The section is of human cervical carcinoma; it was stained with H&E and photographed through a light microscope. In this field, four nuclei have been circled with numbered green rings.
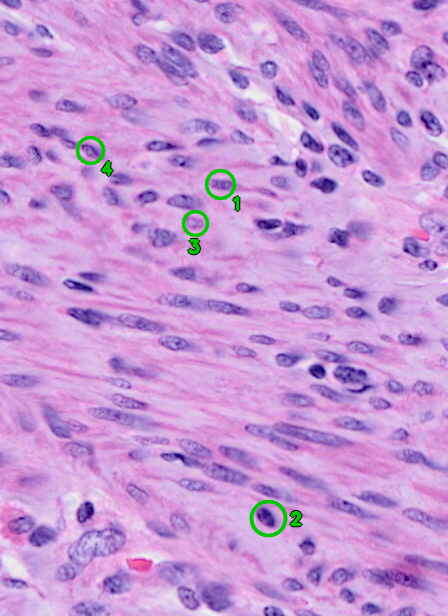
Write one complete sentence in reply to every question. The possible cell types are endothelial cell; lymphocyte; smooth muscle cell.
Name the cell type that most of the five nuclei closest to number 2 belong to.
Smooth muscle cells account for more than half of the five nuclei nearest to number 2.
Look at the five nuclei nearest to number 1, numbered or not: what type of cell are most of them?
Smooth muscle cells account for more than half of the five nuclei nearest to number 1.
